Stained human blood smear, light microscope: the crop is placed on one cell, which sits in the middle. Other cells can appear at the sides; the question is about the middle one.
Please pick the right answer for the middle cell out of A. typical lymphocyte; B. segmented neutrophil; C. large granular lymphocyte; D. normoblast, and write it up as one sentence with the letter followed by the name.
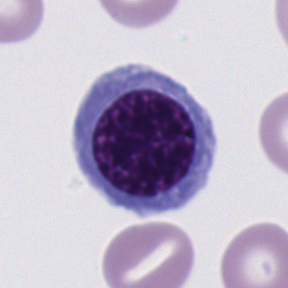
The centered cell is a normoblast, which is why option D is right.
